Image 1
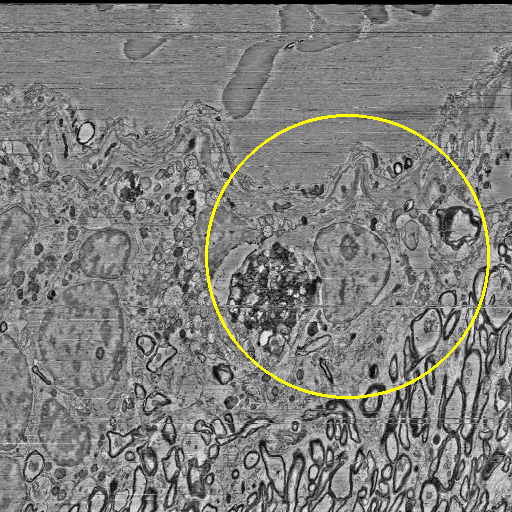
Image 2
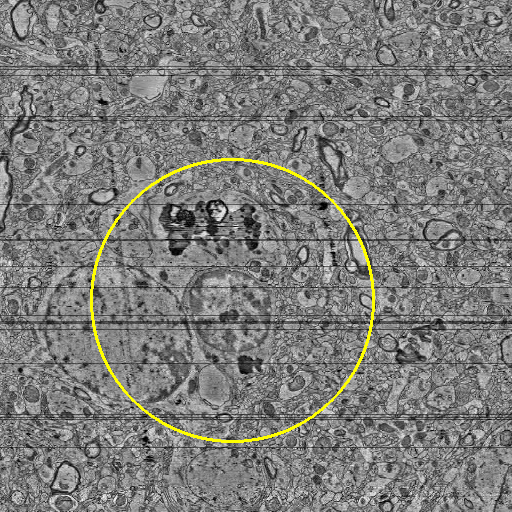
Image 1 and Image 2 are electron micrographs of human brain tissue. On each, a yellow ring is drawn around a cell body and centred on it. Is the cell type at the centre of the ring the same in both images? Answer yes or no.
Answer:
no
